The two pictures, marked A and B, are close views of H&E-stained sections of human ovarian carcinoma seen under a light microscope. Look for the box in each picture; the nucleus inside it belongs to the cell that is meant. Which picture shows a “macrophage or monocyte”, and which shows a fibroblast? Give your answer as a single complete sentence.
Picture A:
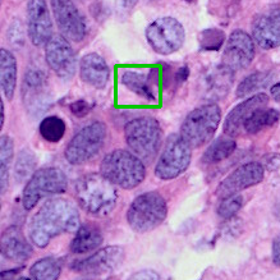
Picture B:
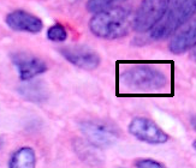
In picture A the cell is a “macrophage or monocyte”; in picture B, a fibroblast.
